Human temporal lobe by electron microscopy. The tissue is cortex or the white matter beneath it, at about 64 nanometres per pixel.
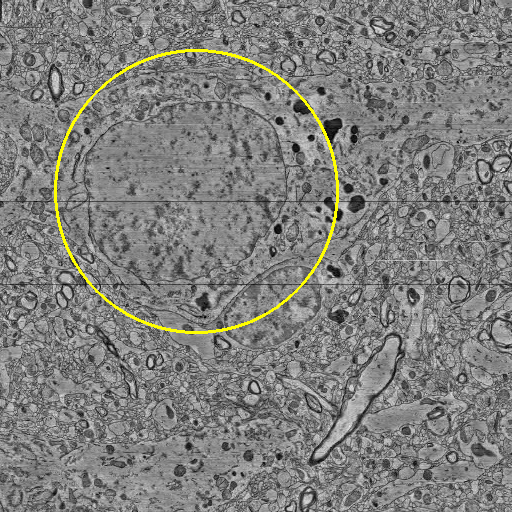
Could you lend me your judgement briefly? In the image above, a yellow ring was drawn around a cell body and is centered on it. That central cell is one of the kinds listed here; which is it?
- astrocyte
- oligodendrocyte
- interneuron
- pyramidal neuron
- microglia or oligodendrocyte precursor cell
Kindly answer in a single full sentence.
Going by the list, a pyramidal neuron is the kind at the ring's center in the picture.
